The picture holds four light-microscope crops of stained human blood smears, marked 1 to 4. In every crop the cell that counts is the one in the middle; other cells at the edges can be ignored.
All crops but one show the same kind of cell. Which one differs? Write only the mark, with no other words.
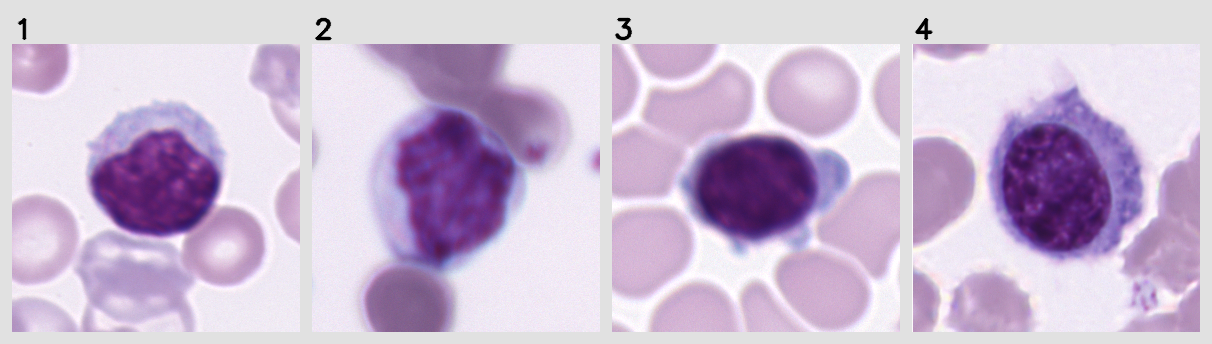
4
